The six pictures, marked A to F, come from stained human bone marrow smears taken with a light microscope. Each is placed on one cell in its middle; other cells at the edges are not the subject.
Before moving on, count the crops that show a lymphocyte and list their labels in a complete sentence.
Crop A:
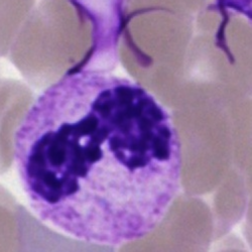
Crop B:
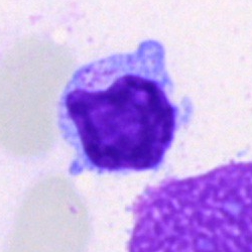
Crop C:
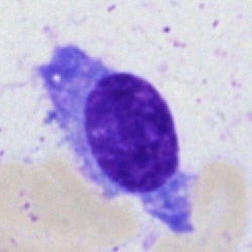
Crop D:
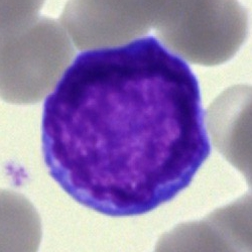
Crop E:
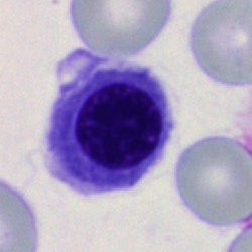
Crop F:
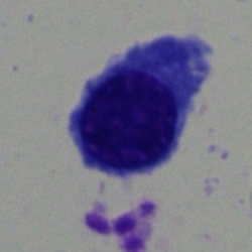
In this set, a lymphocyte is present in exactly one crop, crop B.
